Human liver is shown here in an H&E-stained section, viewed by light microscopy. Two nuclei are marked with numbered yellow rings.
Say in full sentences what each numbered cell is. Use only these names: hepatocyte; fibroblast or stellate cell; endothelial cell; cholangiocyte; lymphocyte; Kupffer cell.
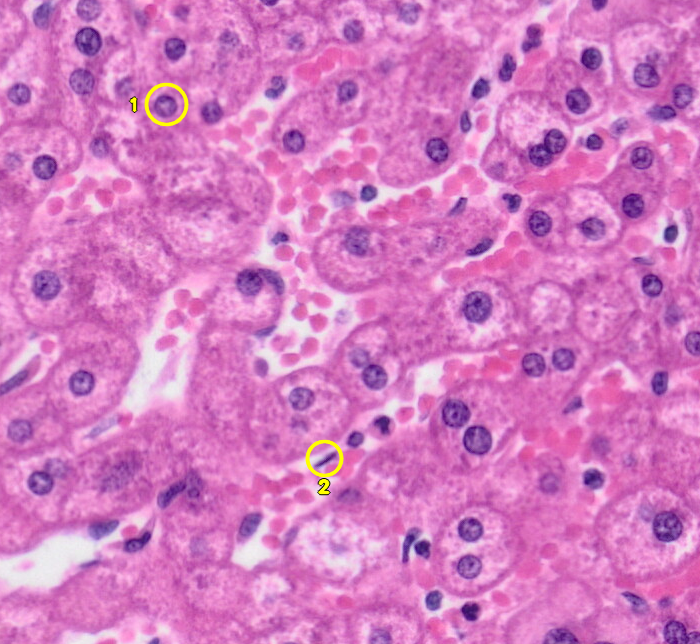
Cell 1 is a hepatocyte and cell 2 is an endothelial cell.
